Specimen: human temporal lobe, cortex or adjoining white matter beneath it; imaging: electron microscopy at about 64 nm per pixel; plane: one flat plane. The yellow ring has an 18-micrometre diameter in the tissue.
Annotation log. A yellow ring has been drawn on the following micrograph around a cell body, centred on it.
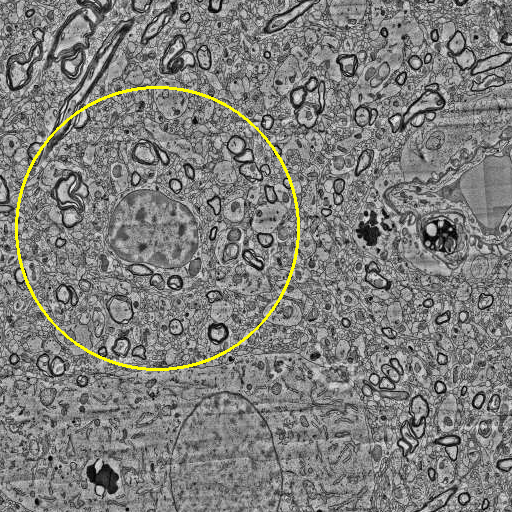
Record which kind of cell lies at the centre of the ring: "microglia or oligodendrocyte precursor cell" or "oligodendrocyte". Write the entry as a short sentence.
The cell the ring is centred on is a microglial cell or oligodendrocyte precursor cell.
